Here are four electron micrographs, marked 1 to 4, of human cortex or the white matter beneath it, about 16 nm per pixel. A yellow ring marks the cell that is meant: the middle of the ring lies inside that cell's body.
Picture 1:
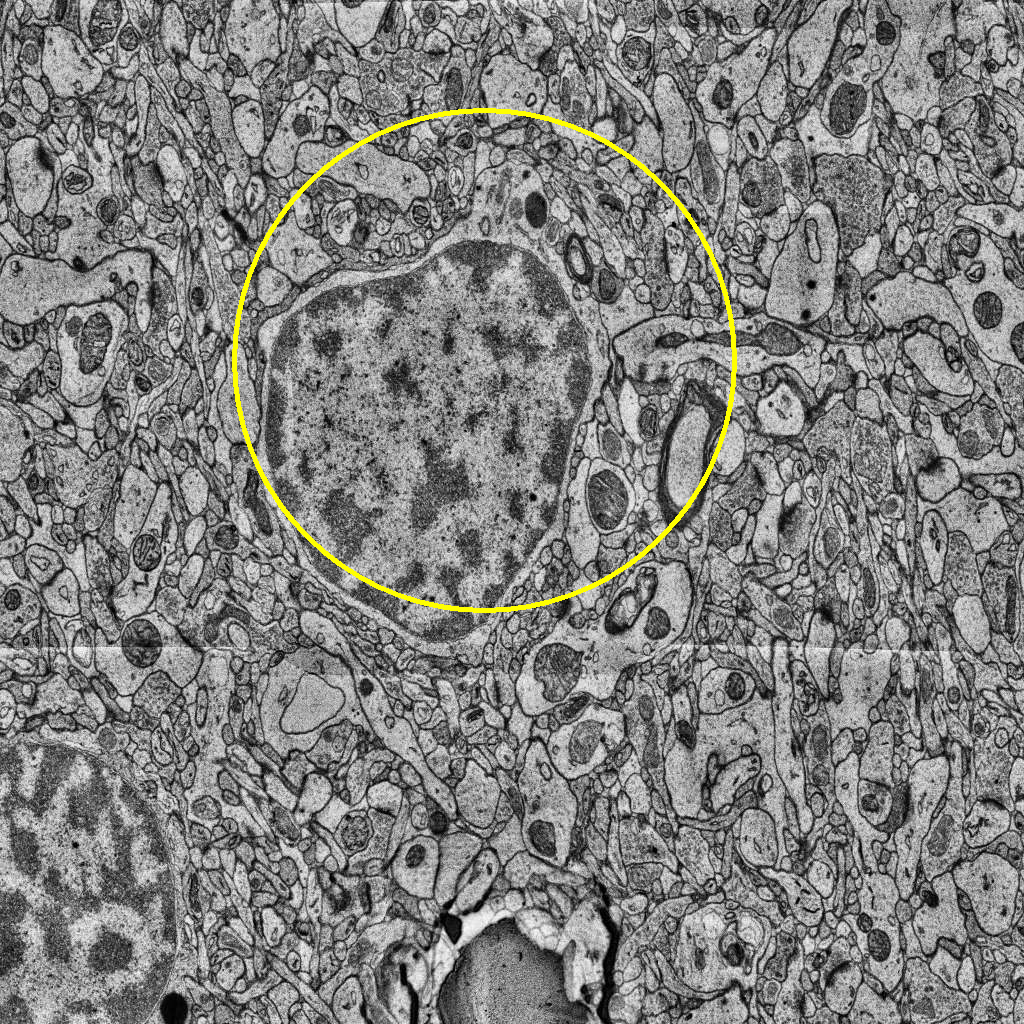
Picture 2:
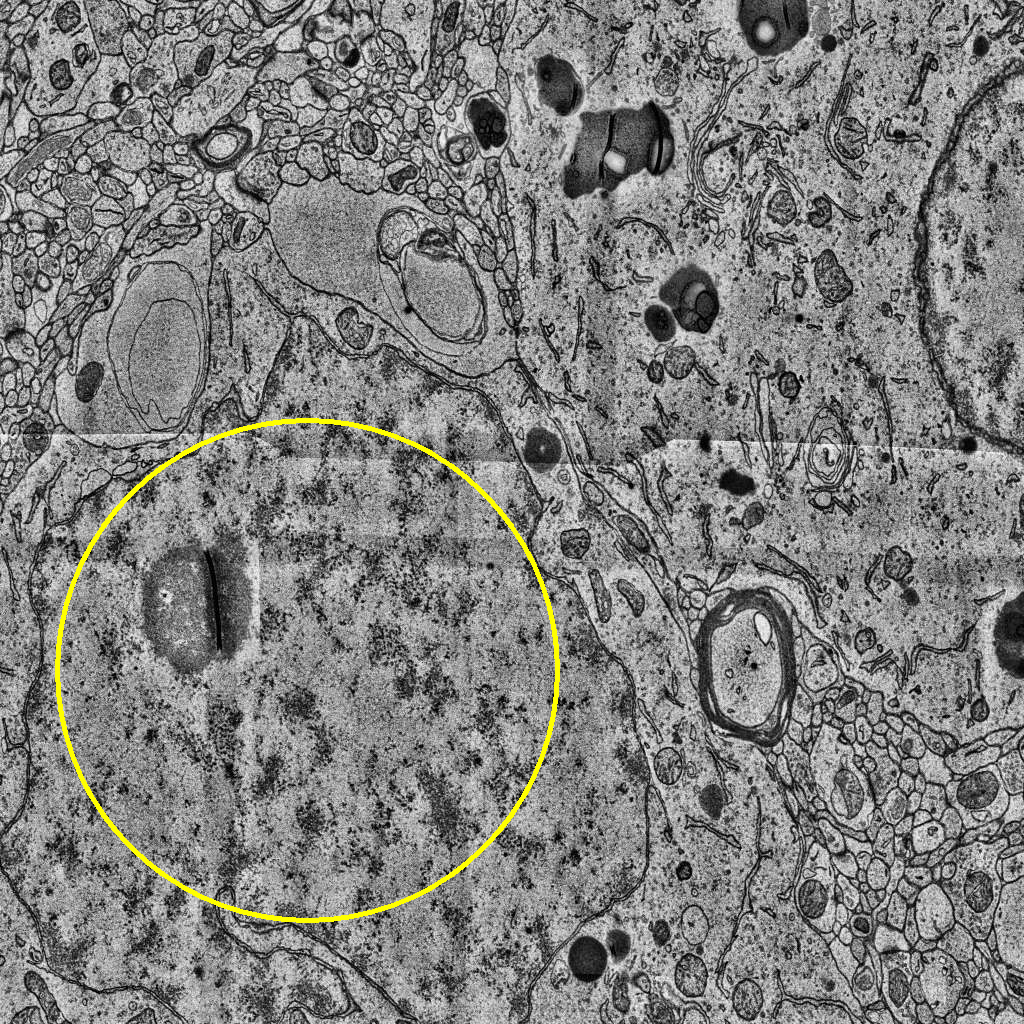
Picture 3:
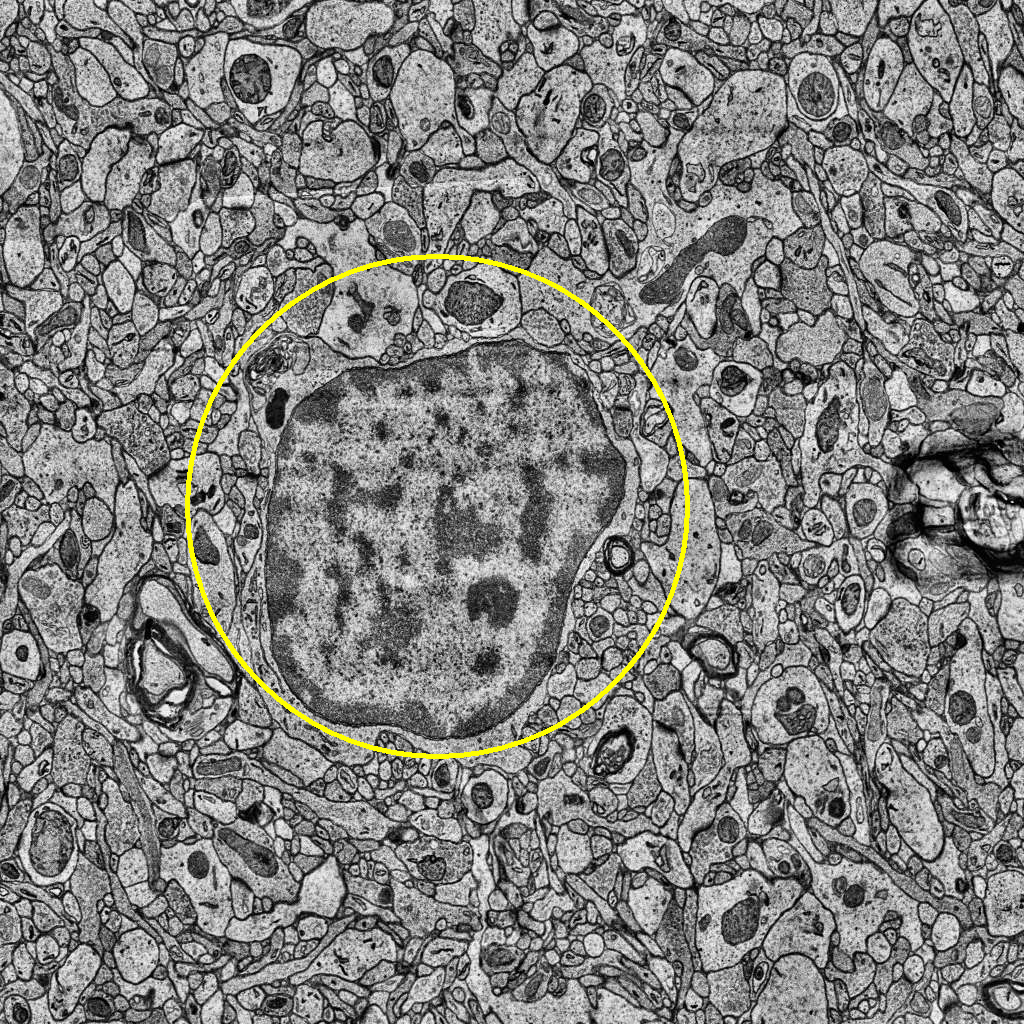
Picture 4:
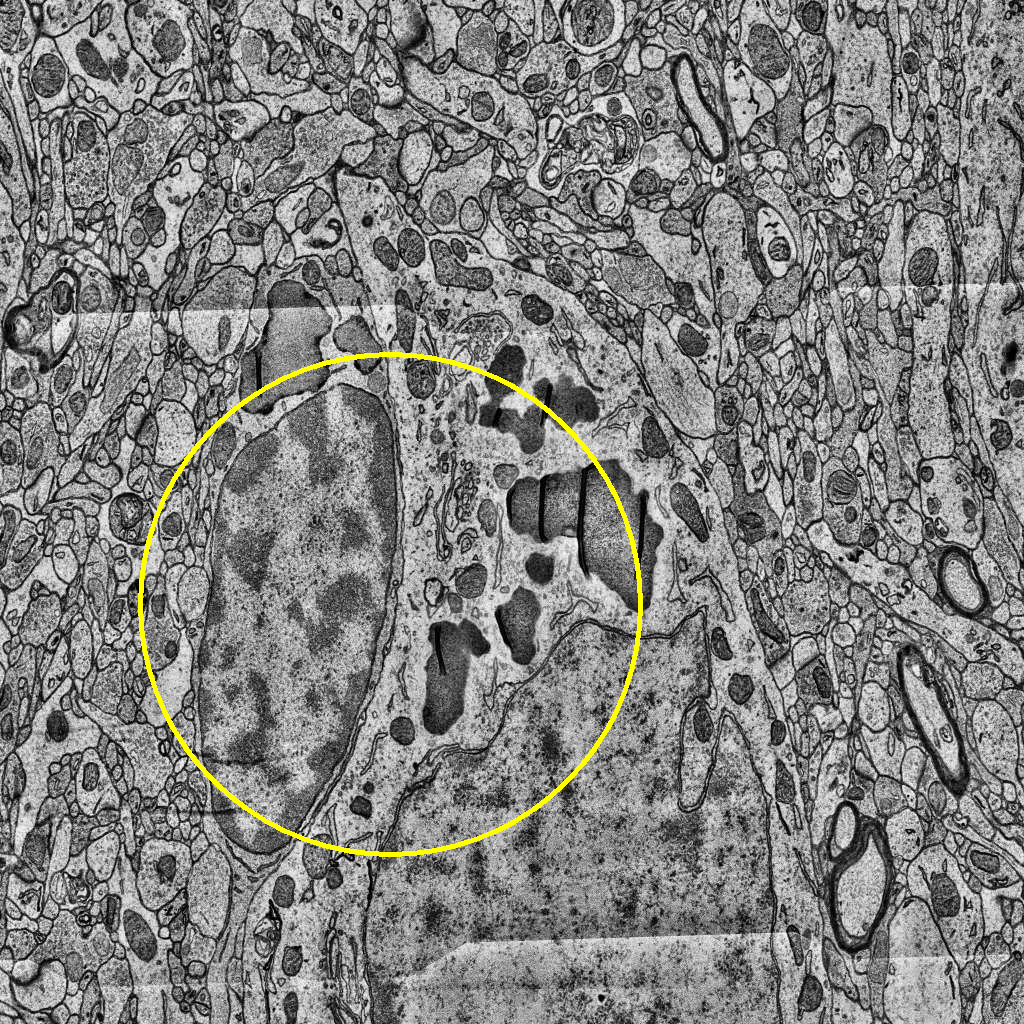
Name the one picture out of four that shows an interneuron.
The cell in picture 2 is the interneuron.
